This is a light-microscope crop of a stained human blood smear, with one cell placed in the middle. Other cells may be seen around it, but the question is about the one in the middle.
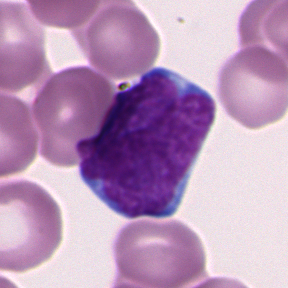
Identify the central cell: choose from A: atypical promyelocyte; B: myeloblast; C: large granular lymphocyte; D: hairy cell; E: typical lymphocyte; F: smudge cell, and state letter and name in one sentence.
Given that the cell in the middle is a myeloblast, option B is correct.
